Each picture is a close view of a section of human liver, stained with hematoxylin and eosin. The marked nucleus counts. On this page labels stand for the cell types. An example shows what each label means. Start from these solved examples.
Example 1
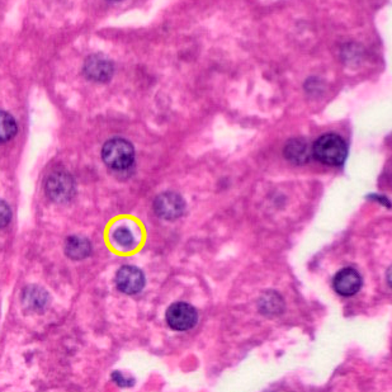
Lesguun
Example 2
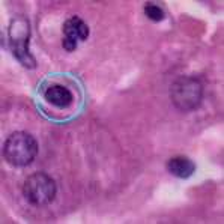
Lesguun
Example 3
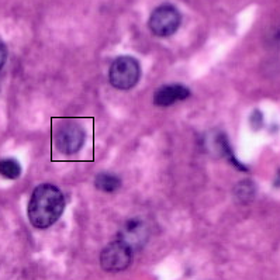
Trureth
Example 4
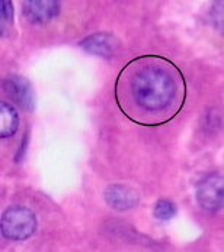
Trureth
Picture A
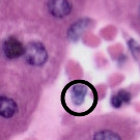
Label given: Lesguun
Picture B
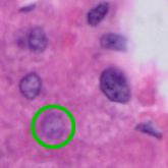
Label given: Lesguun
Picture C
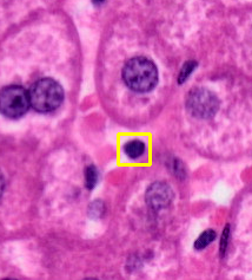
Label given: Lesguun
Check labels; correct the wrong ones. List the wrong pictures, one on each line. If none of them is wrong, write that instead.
B should be Trureth, not Lesguun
